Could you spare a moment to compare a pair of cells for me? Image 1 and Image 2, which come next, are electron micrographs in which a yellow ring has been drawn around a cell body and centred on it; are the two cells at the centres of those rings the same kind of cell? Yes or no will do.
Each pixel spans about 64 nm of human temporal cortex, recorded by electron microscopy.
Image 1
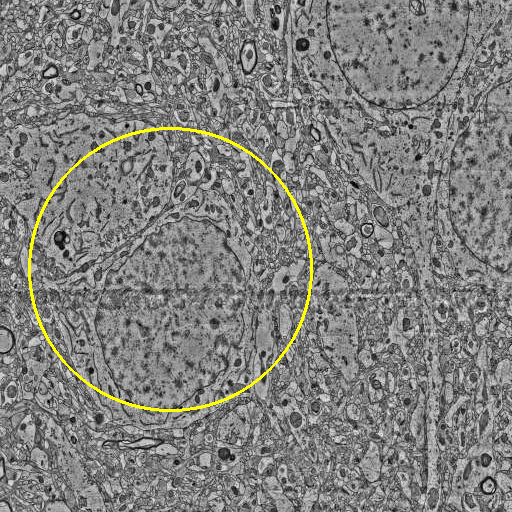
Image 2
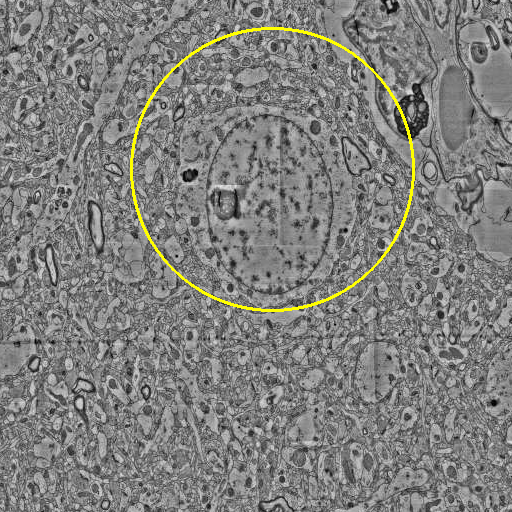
no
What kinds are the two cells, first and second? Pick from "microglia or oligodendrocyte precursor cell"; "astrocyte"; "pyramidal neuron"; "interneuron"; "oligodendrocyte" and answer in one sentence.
The second picture holds a pyramidal neuron in its ring, and the first holds an interneuron.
